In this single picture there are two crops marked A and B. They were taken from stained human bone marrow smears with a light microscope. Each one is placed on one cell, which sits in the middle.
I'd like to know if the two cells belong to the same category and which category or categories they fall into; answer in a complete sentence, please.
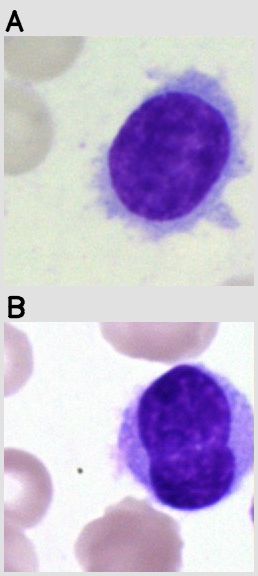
Yes, that is right, both crops show hairy cells.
